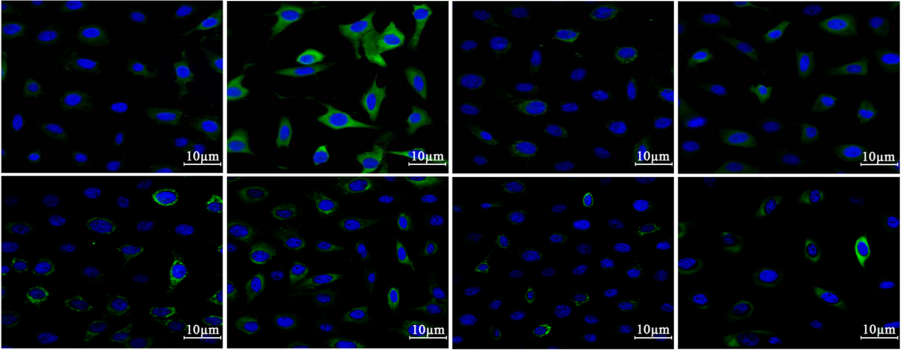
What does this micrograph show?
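The cells are flattened and polygonal to spindle-shaped, some with short tapering extensions, and the green label lies in the cytoplasm around the nucleus. In some images the green is bright and fills much of the cell body, while in others it is faint or forms a thin rim close to the nucleus.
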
